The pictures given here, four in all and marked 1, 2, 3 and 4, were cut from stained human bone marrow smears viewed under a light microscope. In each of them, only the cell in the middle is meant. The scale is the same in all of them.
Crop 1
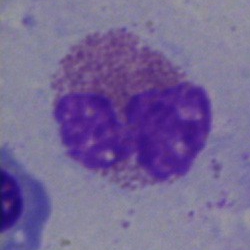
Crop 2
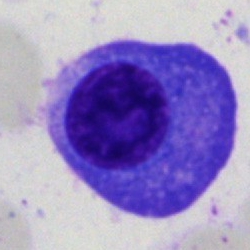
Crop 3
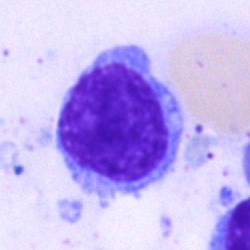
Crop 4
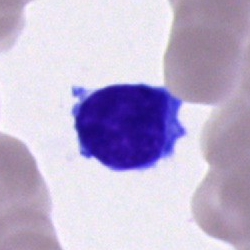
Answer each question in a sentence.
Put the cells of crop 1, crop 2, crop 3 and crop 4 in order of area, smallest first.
Going up, they run 4, 3, 1, 2.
